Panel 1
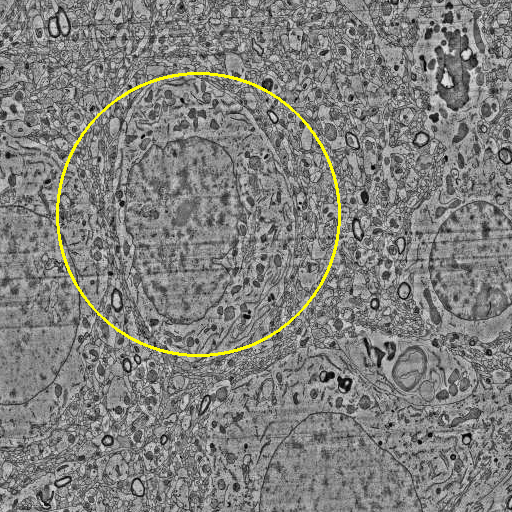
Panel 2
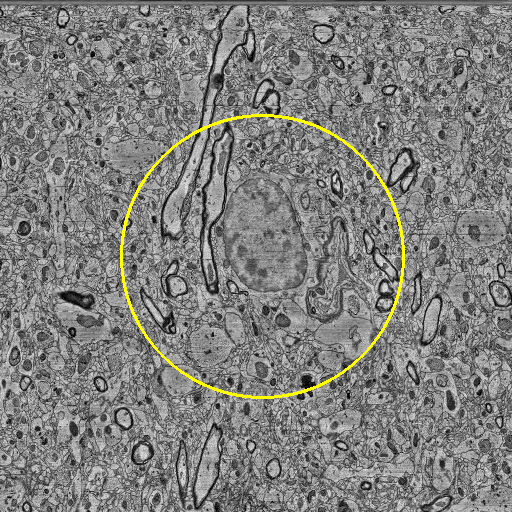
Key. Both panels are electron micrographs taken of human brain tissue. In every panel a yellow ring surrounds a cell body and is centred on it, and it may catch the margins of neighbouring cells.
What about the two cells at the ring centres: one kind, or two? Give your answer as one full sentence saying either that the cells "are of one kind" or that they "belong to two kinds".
Across Panels 1 and 2, the two cells at the ring centres belong to two kinds.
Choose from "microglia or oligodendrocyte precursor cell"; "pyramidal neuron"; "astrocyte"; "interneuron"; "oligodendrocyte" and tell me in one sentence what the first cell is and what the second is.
What the first ring is centred on is an interneuron; what the second ring is centred on is an oligodendrocyte.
